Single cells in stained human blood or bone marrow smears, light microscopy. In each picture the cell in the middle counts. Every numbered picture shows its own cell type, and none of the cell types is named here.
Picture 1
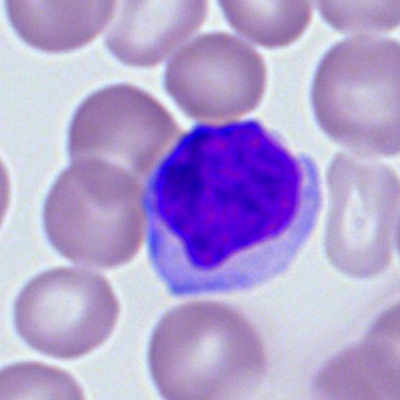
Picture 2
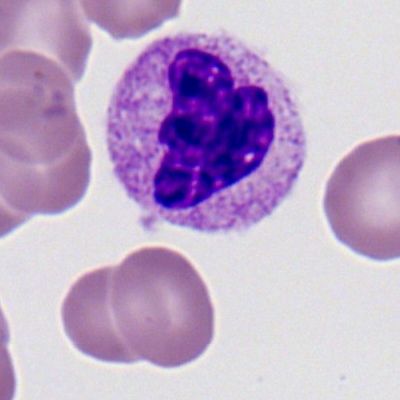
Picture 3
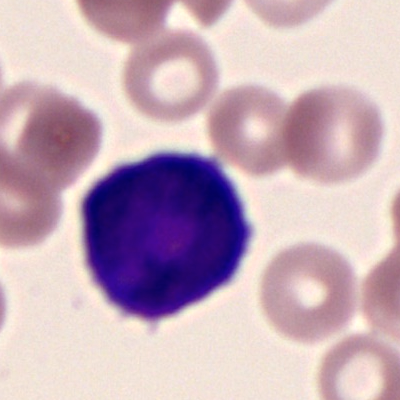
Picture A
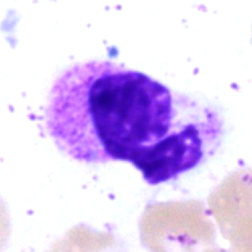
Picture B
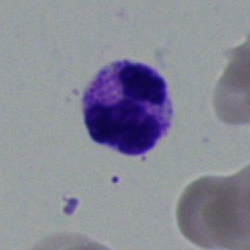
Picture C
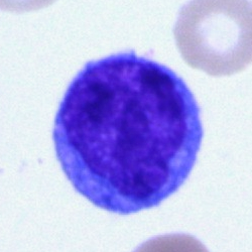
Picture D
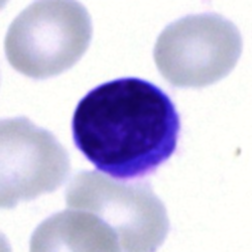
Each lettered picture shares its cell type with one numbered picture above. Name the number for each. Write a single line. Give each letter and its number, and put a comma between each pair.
A 2, B 2, C 3, D 1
